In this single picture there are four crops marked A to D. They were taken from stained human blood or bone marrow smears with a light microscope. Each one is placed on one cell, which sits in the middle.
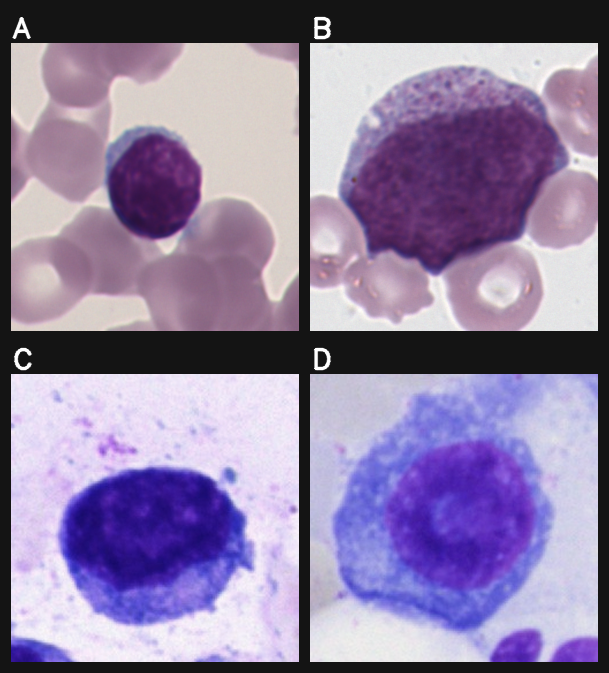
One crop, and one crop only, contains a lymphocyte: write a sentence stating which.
The one that shows a lymphocyte is crop A.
